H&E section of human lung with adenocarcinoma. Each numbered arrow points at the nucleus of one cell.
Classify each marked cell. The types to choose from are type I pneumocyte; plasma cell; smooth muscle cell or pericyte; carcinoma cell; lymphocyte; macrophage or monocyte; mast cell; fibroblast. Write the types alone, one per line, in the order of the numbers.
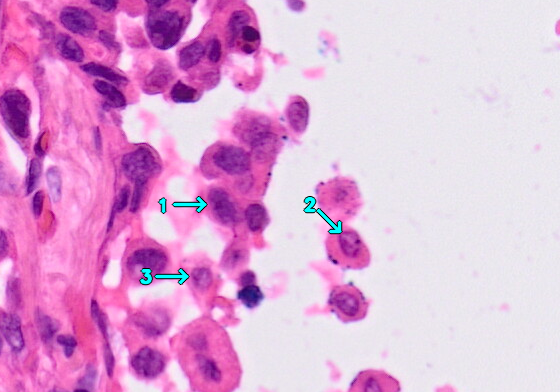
carcinoma cell
macrophage or monocyte
macrophage or monocyte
